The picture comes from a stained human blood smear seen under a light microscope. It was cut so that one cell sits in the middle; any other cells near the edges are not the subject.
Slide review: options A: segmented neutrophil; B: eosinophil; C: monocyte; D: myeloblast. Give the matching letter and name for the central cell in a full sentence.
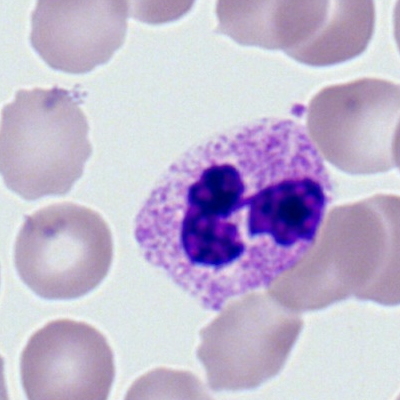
The correct choice is option A, which identifies the middle cell as a segmented neutrophil.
